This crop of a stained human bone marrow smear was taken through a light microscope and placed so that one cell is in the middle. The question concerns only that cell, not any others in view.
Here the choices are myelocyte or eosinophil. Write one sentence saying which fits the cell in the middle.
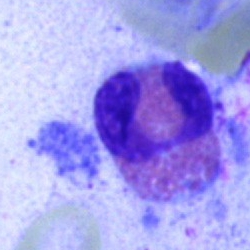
In the crop, the cell of interest at the centre is an eosinophil.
